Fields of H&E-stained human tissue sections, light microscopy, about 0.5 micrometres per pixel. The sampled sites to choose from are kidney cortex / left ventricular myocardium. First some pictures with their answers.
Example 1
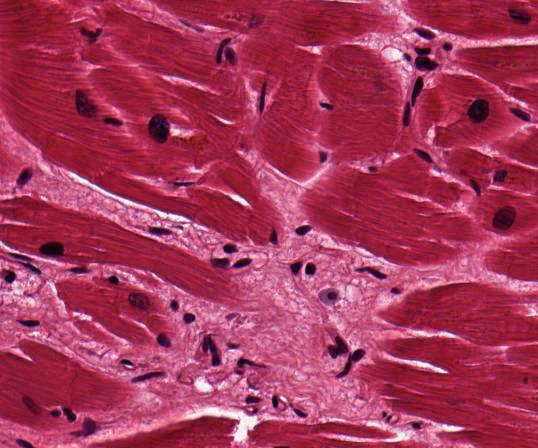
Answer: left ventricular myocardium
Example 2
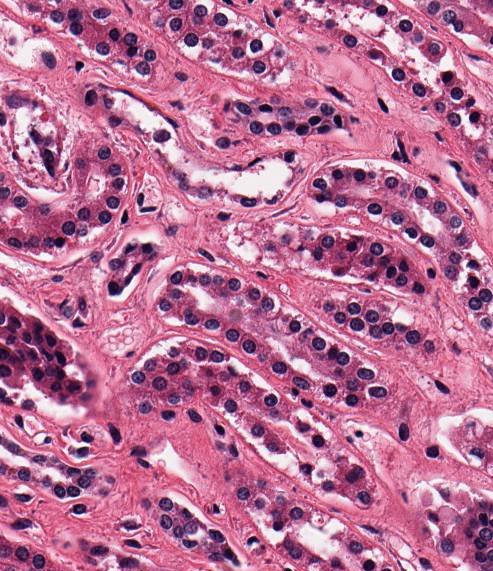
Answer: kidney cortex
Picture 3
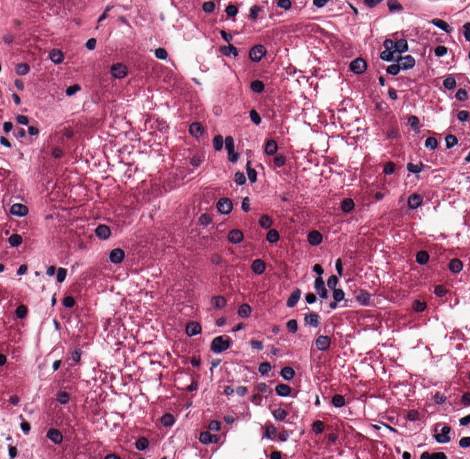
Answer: kidney cortex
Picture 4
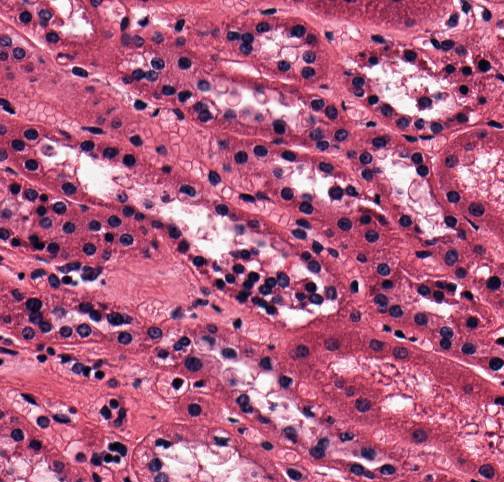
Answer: kidney cortex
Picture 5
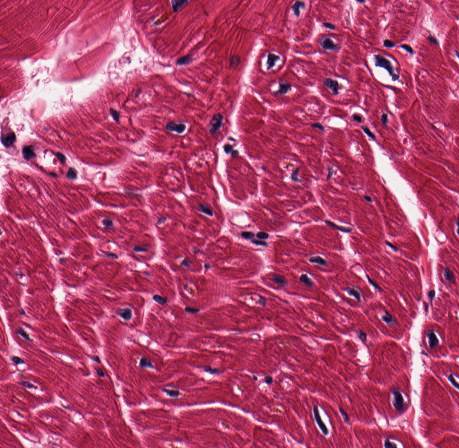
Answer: left ventricular myocardium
